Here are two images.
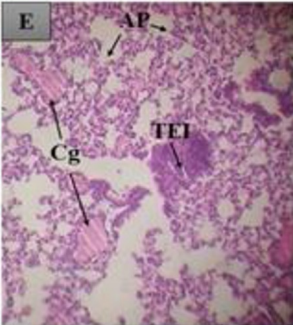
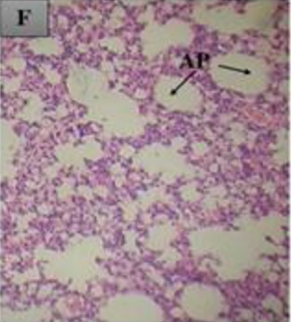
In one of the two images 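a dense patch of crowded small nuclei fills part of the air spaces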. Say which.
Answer: The first image.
